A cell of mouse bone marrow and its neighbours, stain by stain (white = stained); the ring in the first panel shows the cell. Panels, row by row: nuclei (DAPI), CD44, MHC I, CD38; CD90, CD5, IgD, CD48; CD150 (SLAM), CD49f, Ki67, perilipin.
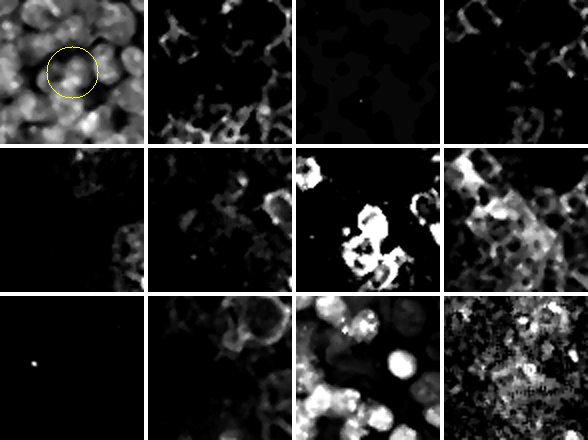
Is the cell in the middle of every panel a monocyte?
No, it is a B cell.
